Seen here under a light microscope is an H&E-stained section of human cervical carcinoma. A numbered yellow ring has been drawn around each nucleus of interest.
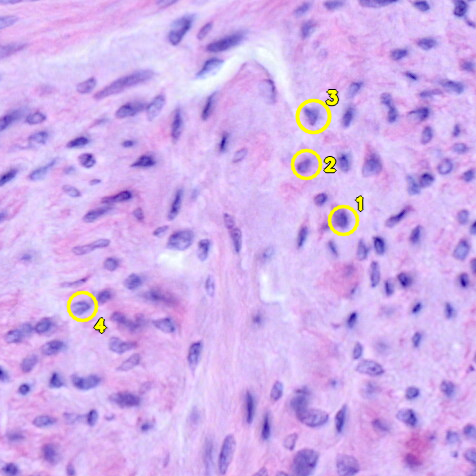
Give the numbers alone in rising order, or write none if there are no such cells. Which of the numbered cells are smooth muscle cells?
1, 2, 4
